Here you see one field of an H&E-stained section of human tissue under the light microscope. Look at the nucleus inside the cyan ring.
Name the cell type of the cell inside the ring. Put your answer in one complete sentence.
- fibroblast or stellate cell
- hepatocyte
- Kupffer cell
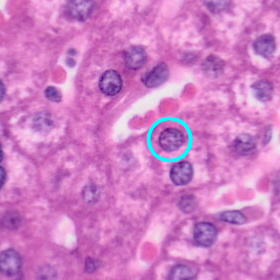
The cell meant here is a hepatocyte.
